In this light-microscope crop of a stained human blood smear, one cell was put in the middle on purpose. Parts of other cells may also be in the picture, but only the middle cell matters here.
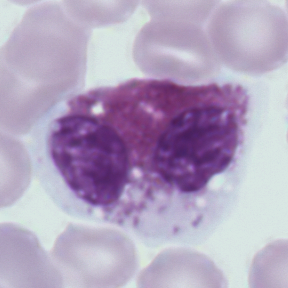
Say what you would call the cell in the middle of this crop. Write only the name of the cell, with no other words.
eosinophil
